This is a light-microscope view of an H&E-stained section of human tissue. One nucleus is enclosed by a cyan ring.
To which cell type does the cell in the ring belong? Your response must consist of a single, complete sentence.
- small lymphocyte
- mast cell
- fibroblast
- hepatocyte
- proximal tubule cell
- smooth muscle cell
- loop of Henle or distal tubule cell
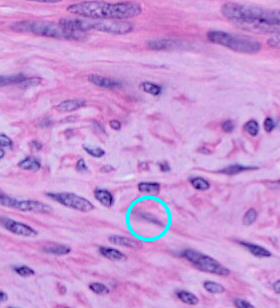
In the stained section, the cell in the ring is a smooth muscle cell.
